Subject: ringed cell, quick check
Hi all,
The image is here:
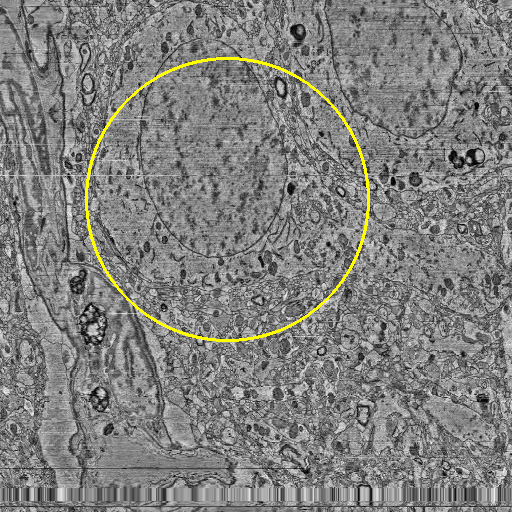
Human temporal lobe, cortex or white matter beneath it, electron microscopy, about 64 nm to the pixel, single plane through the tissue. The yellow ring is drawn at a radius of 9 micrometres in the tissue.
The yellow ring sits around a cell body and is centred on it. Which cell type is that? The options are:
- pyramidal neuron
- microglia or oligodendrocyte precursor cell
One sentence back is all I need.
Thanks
That ringed cell is a pyramidal neuron.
